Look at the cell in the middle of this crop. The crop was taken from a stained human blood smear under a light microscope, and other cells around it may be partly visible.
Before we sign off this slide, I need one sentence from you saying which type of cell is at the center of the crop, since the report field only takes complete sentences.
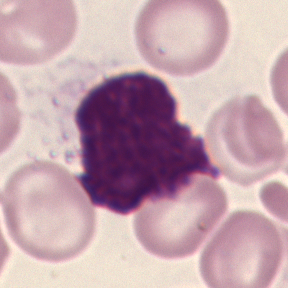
The cell under consideration, at the middle of the crop, is a smudge cell.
